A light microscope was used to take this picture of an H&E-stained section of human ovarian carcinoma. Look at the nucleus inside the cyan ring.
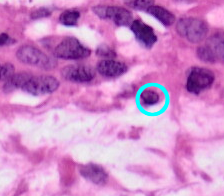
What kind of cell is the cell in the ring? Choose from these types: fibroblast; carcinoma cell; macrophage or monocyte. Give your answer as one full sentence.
For the purposes of cell typing, the cell in the ring is categorized as a macrophage or monocyte.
